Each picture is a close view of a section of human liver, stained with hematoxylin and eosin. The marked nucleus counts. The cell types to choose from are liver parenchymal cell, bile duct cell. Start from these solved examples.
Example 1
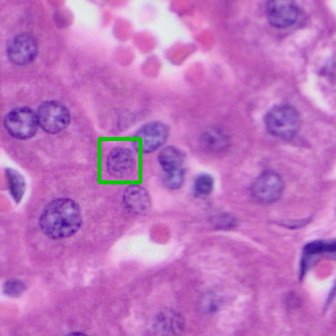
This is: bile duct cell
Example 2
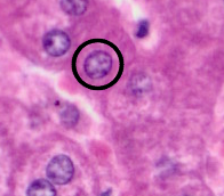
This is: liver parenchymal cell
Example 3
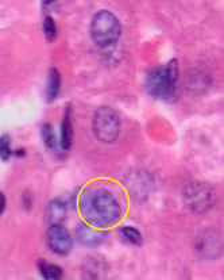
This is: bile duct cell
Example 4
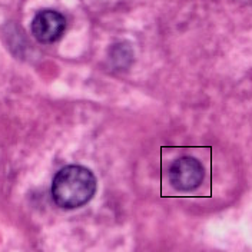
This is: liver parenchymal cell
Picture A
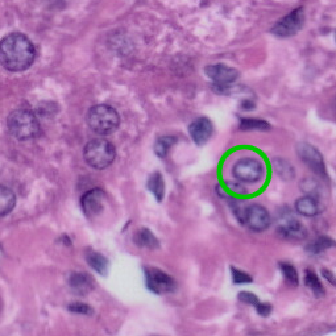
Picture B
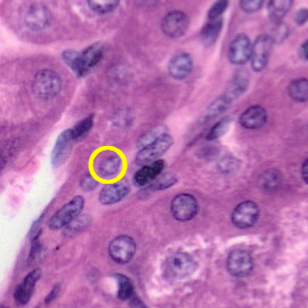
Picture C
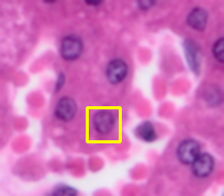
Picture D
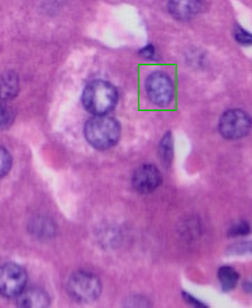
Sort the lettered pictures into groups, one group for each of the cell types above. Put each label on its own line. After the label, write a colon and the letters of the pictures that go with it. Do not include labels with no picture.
liver parenchymal cell: C
bile duct cell: A, B, D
